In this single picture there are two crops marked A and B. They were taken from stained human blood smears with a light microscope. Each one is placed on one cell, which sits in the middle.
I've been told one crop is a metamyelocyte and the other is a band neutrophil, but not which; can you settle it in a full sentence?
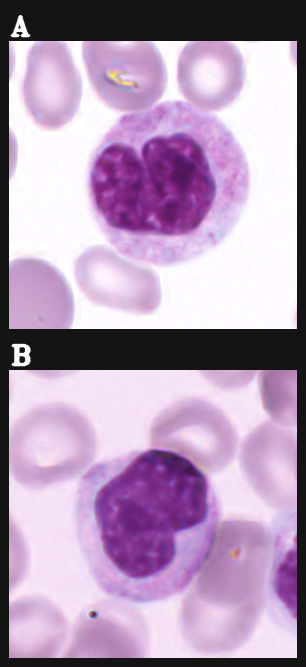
Crop A contains a band neutrophil, and crop B, a metamyelocyte.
